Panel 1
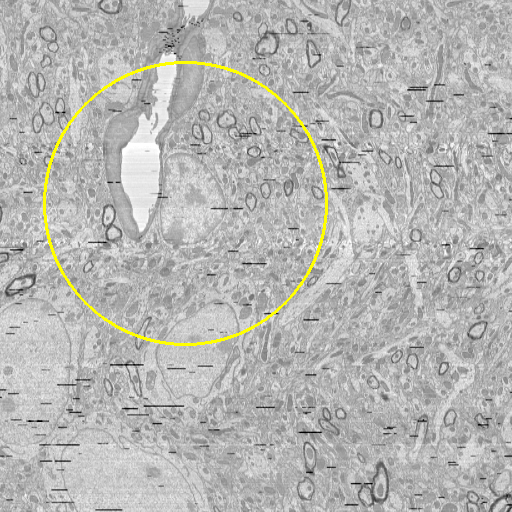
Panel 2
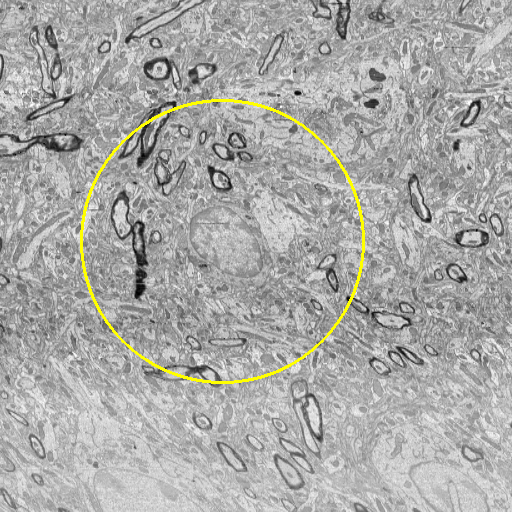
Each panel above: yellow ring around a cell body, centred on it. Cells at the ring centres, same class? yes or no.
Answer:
yes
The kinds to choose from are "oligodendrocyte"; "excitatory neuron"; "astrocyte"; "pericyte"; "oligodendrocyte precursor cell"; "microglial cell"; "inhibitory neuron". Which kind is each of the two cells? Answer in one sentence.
The cell in the first picture is an oligodendrocyte, and so is the one in the second.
